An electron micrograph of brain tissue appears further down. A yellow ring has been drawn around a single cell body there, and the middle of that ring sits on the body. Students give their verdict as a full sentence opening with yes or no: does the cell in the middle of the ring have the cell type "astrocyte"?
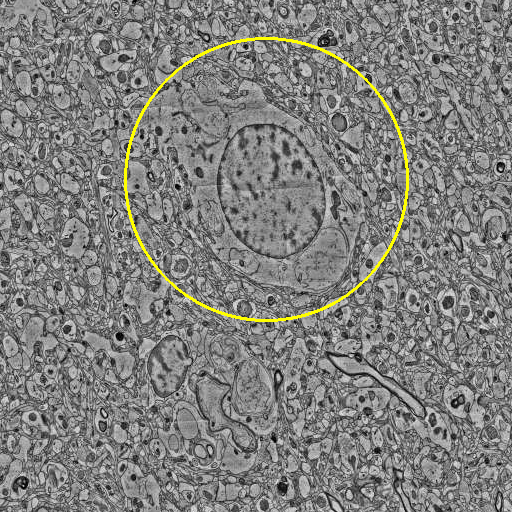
Yes, in this picture the cell sitting at the middle of the ring has that cell type.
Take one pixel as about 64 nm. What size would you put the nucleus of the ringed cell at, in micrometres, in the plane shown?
About 9 by 7 micrometers, in this plane.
